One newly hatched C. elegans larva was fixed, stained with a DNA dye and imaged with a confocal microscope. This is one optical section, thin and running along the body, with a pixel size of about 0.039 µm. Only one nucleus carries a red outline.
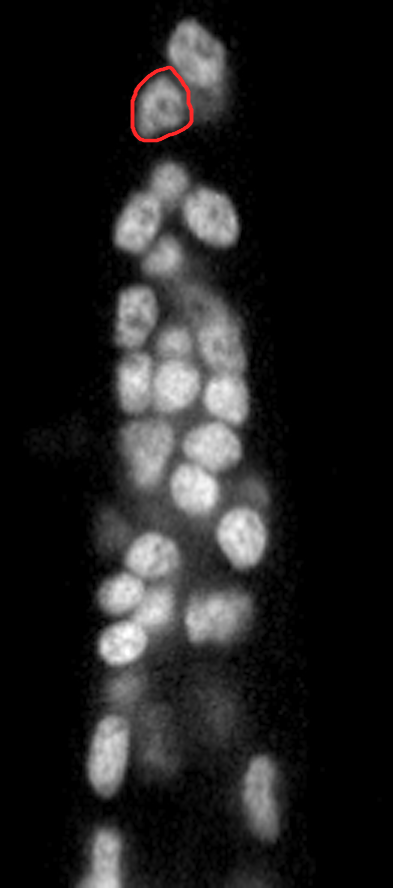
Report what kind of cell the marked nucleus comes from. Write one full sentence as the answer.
It belongs to a hypodermal cell (hyp).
